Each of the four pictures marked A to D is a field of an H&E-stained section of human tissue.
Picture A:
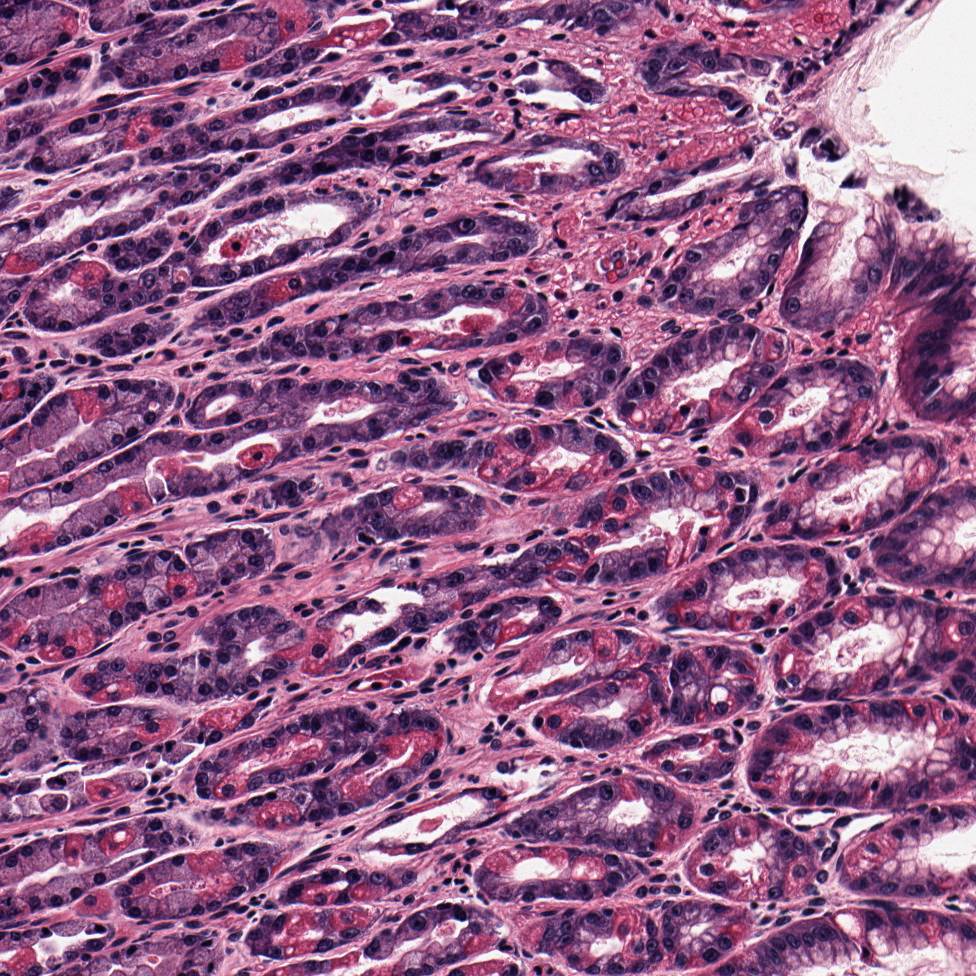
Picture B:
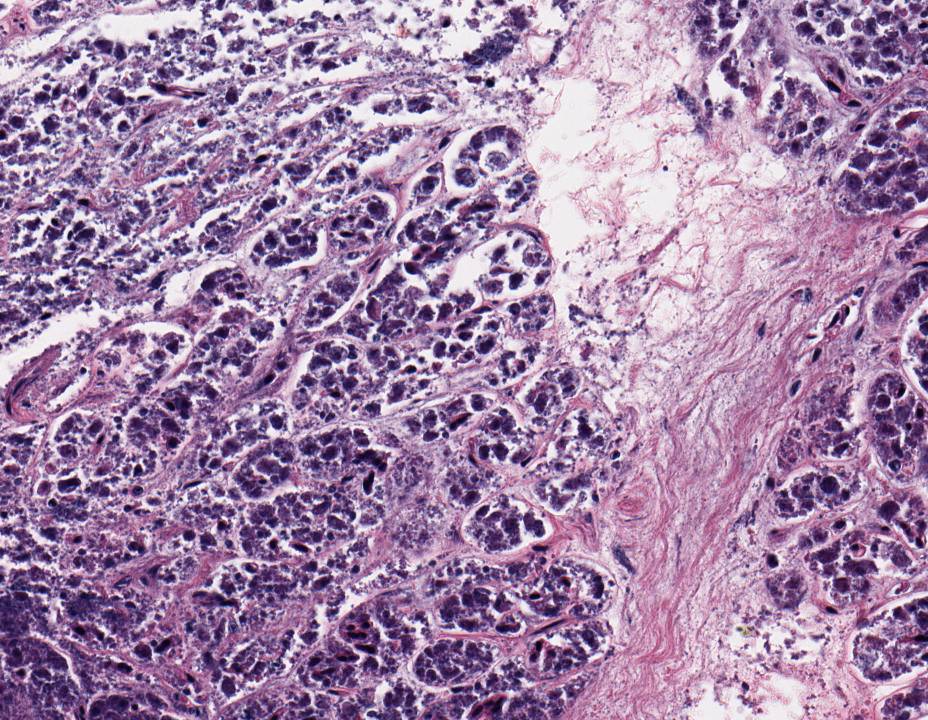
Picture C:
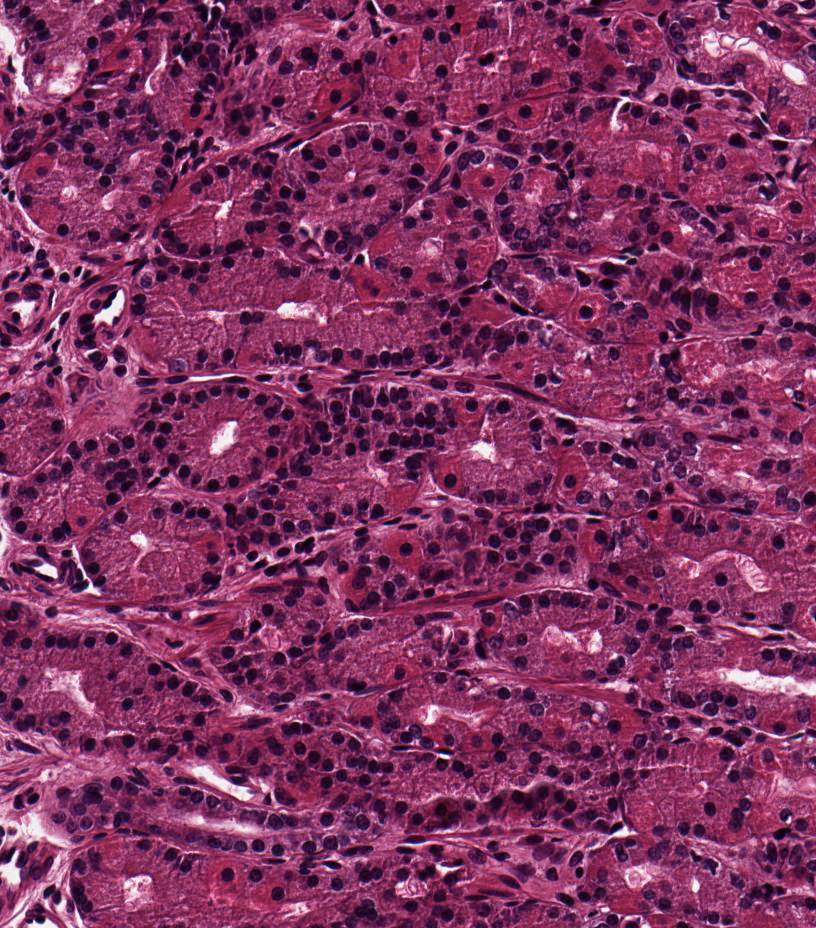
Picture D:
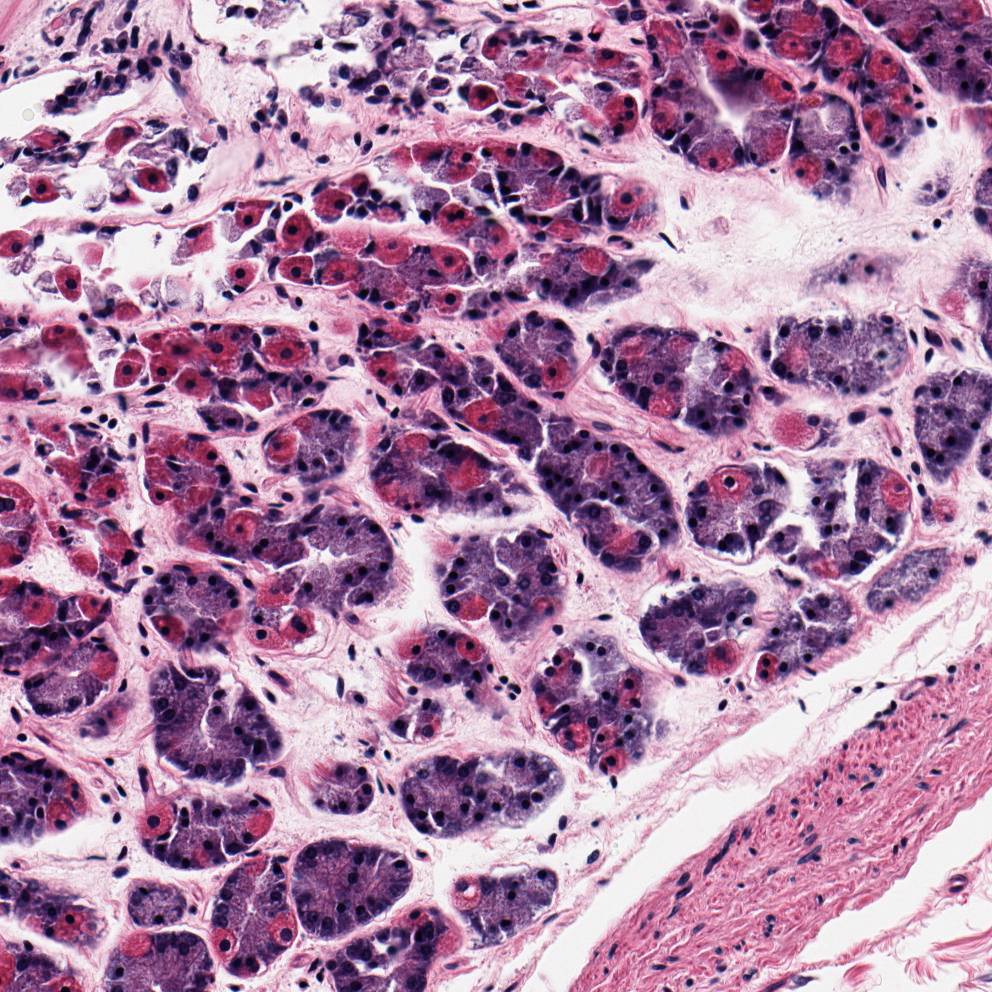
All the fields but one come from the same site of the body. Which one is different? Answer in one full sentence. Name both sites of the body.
The others come from the stomach, but picture B comes from the pancreas.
